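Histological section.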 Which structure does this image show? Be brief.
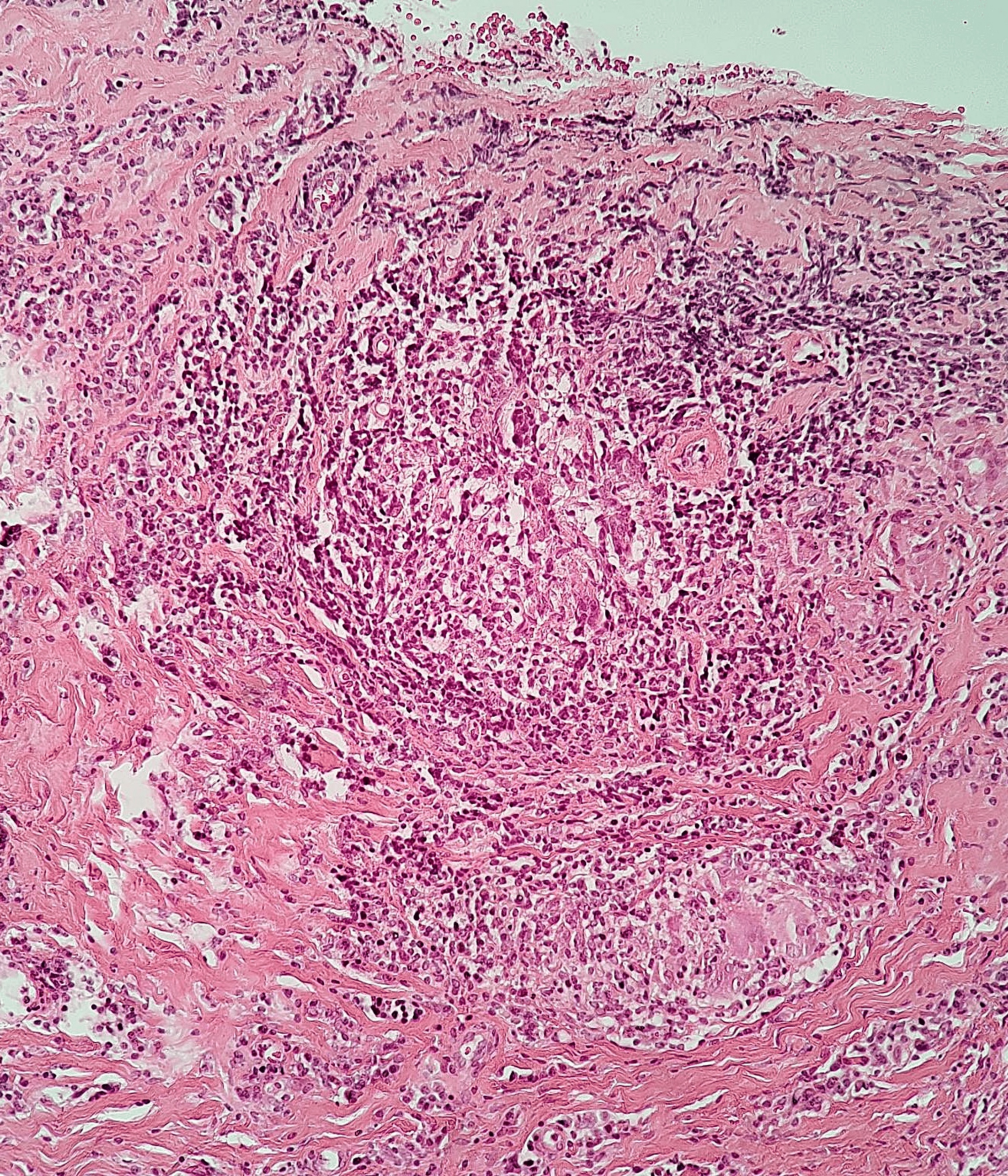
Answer: Non-caseating granuloma.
